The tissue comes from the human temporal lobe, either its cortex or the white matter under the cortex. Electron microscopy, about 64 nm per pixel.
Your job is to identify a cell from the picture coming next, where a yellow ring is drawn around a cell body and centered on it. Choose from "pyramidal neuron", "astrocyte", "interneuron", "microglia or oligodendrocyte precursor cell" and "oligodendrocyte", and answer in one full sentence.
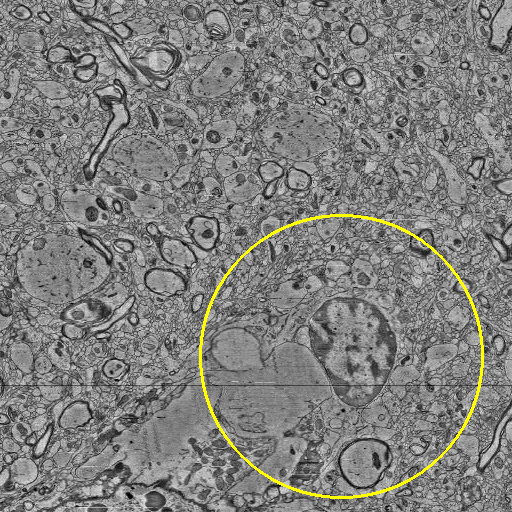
Centered in the yellow ring of the picture is the body of a microglial cell or oligodendrocyte precursor cell.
